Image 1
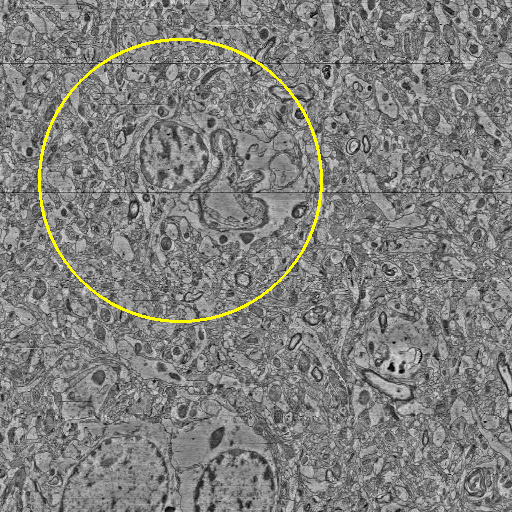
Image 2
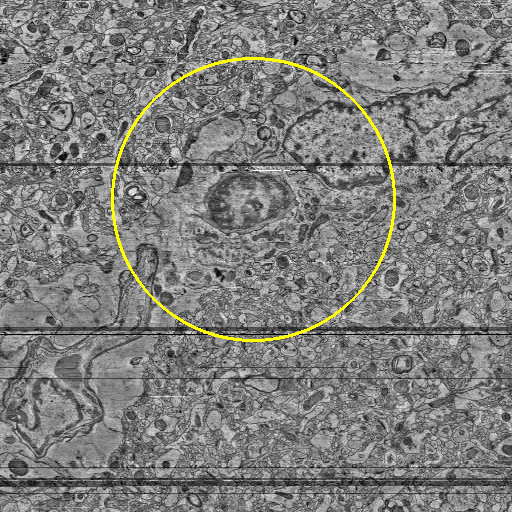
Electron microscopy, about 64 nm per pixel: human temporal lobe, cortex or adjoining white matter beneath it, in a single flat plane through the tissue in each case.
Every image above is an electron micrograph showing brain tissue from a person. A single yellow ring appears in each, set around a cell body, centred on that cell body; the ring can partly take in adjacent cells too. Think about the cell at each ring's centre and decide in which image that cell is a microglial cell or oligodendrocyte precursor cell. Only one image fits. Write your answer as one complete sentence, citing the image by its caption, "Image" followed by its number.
Image 1 is the one whose ringed central cell fits the description.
